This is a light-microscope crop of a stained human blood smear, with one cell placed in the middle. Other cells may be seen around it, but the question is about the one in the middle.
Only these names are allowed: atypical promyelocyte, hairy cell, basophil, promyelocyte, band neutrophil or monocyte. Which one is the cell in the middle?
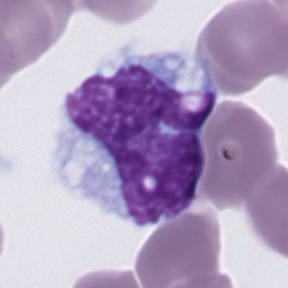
monocyte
